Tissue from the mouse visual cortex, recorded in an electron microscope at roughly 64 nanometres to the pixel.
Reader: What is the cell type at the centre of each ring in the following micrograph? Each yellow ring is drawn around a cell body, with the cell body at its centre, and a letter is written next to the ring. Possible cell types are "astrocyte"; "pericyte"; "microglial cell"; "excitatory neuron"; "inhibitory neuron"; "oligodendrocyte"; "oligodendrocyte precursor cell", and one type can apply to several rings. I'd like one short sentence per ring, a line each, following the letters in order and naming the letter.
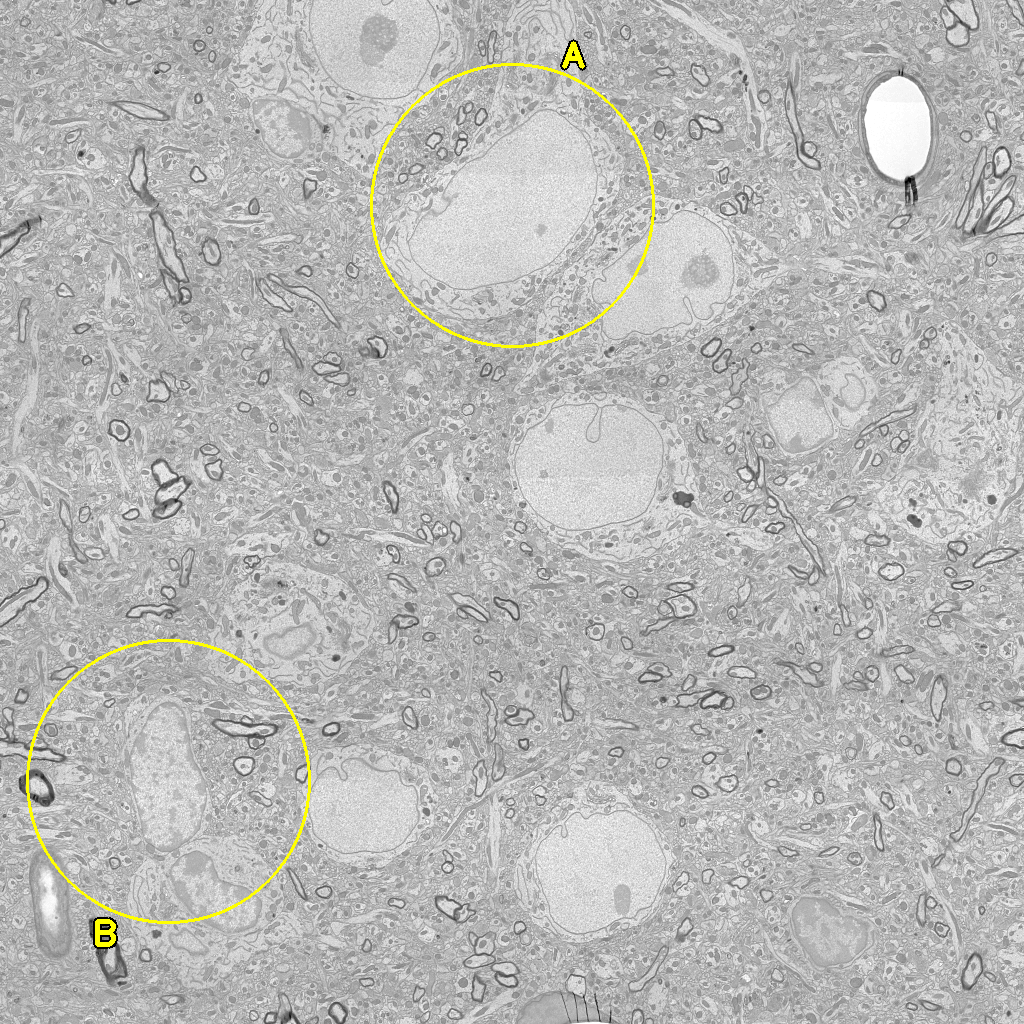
The cell body at the centre of ring A is that of an excitatory neuron.
The cell body at the centre of ring B is that of an oligodendrocyte.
